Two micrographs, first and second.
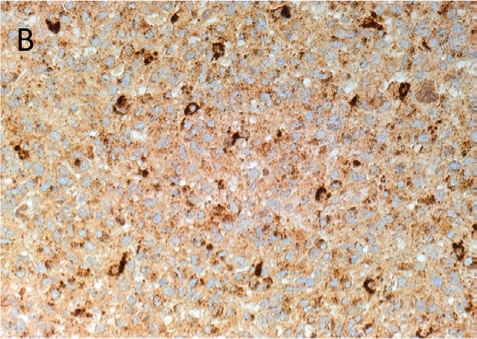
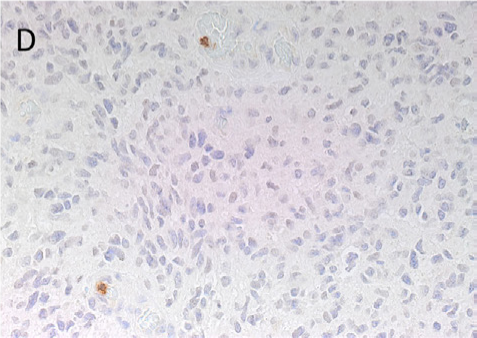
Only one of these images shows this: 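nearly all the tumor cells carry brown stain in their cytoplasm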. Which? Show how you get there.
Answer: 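Second image: blue nuclei on a pale background, only two isolated brown cells. First image: brown stain throughout the field around almost every nucleus.
Conclusion: the first image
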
